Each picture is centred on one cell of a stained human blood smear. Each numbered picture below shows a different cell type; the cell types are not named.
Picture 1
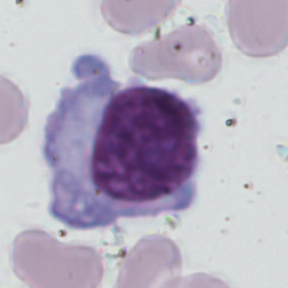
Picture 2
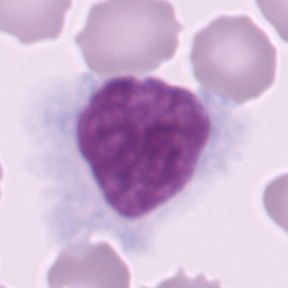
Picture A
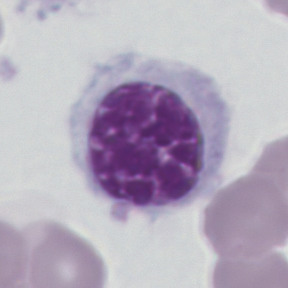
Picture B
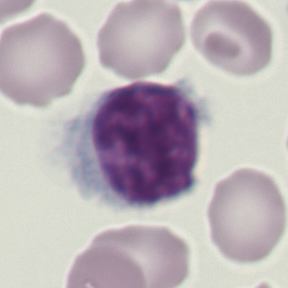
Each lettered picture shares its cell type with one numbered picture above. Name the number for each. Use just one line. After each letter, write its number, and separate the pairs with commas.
A 1, B 2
